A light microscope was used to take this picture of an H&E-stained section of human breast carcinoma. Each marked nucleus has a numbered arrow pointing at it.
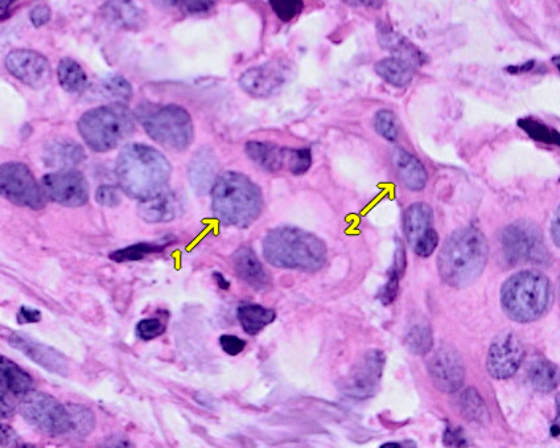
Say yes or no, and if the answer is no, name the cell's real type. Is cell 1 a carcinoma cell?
Yes.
